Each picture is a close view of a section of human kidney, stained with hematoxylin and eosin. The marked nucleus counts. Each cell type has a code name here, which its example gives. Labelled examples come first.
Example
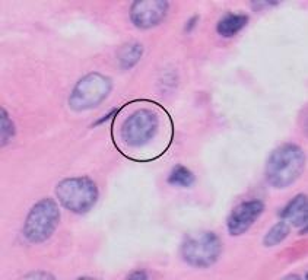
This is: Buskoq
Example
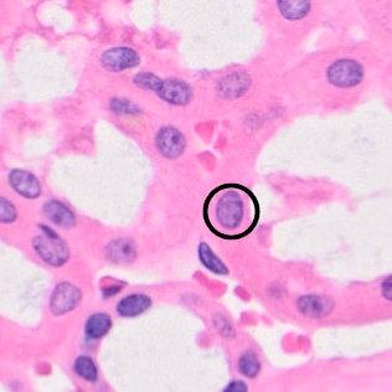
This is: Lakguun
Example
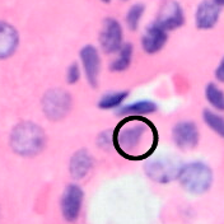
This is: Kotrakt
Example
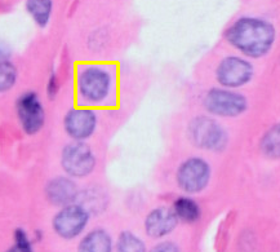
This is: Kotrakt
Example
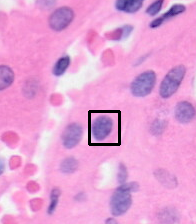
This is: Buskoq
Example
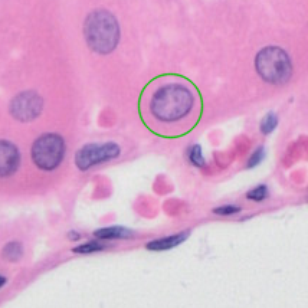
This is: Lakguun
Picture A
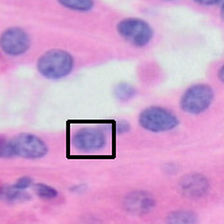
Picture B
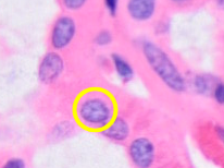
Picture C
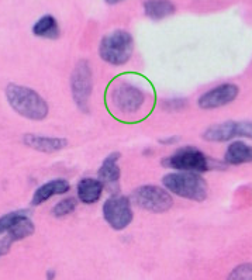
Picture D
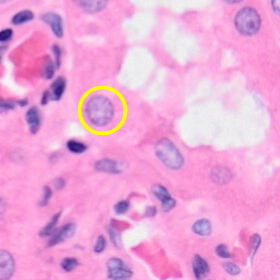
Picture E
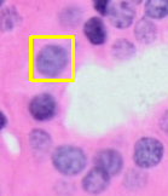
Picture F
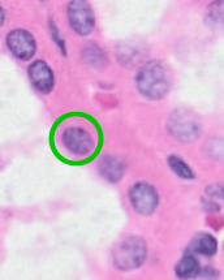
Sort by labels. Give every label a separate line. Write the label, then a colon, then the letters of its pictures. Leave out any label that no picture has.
Buskoq: A, B, C, F
Lakguun: D
Kotrakt: E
